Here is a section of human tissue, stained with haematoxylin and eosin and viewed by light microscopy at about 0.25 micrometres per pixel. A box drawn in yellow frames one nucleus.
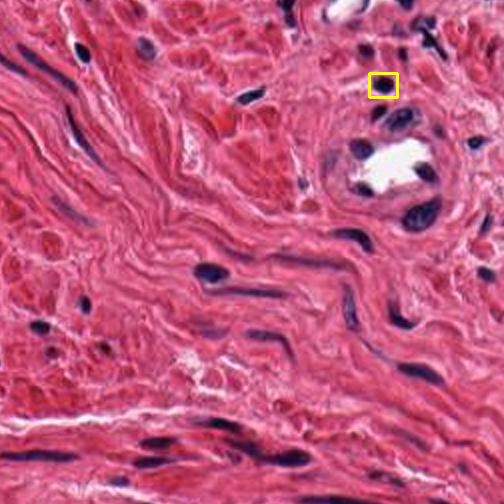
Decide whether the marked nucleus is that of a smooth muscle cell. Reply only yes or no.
no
